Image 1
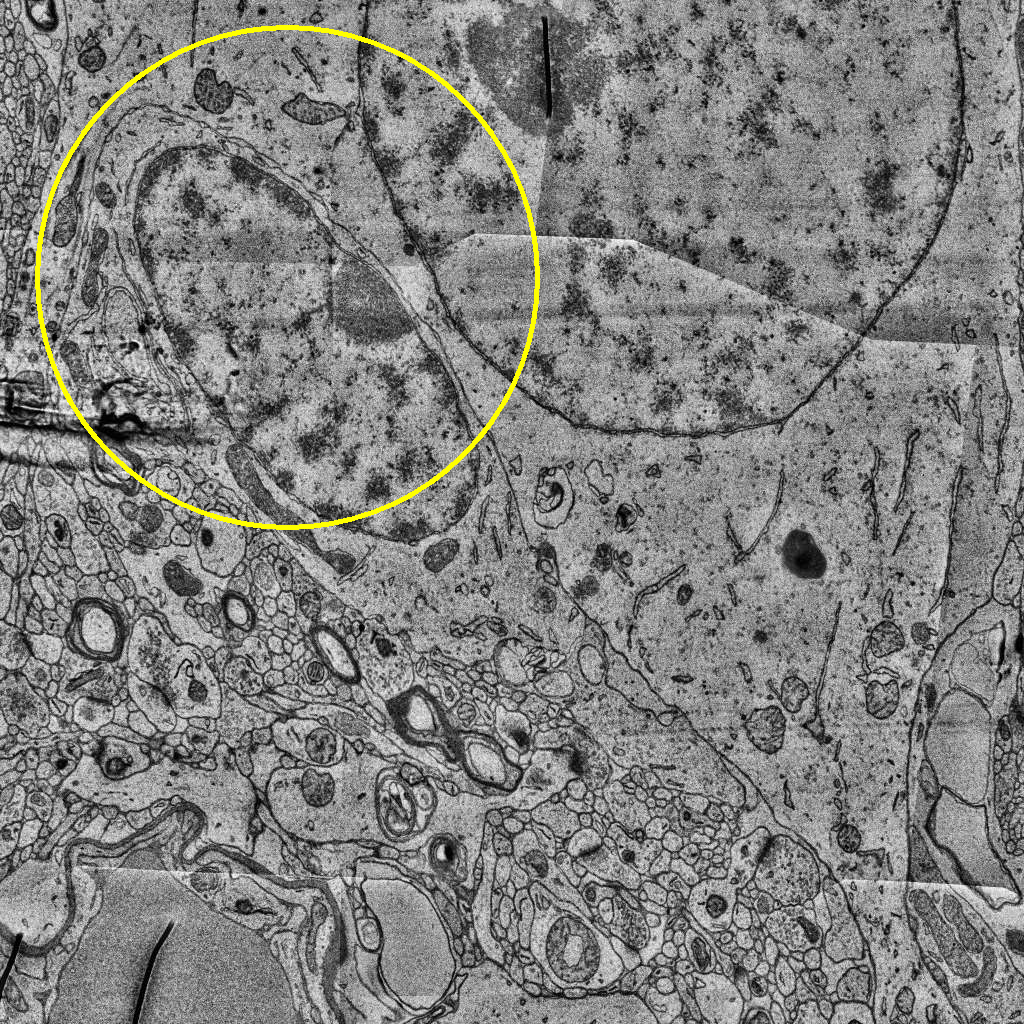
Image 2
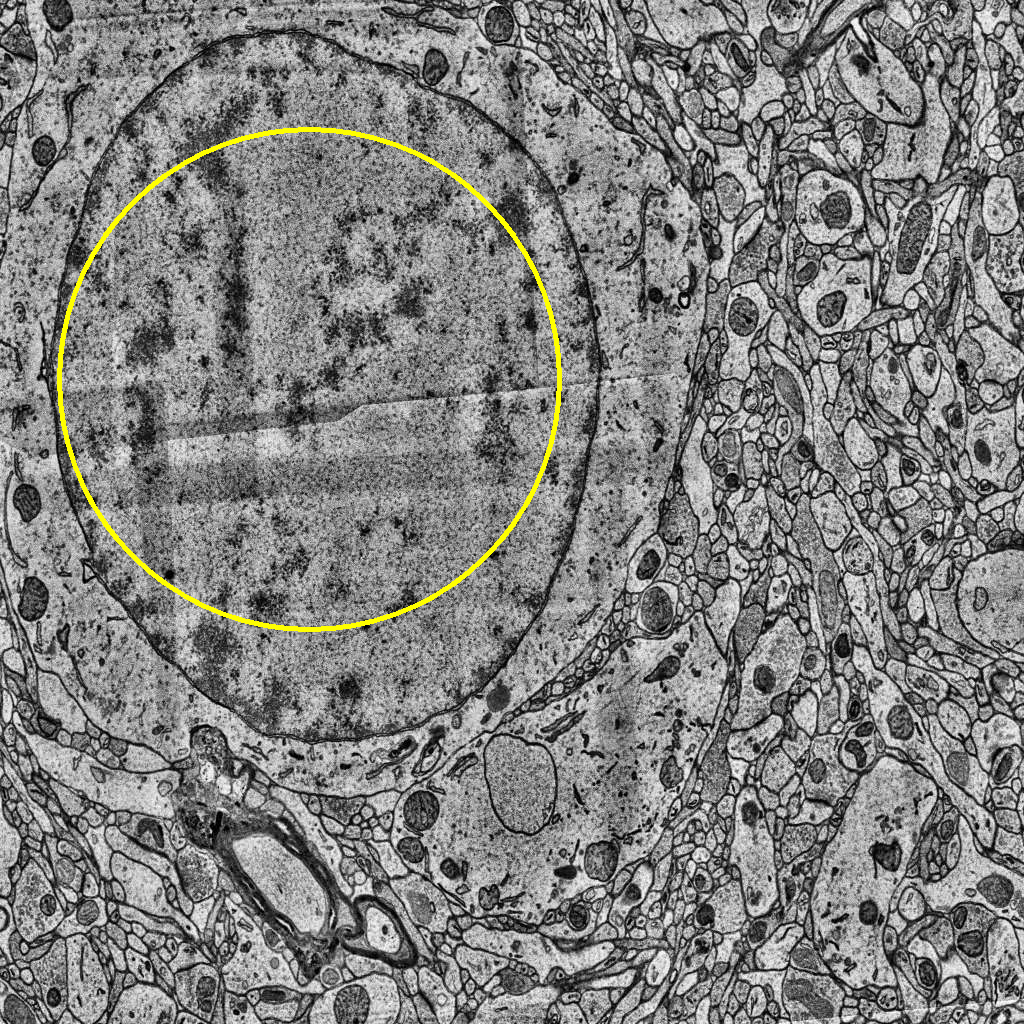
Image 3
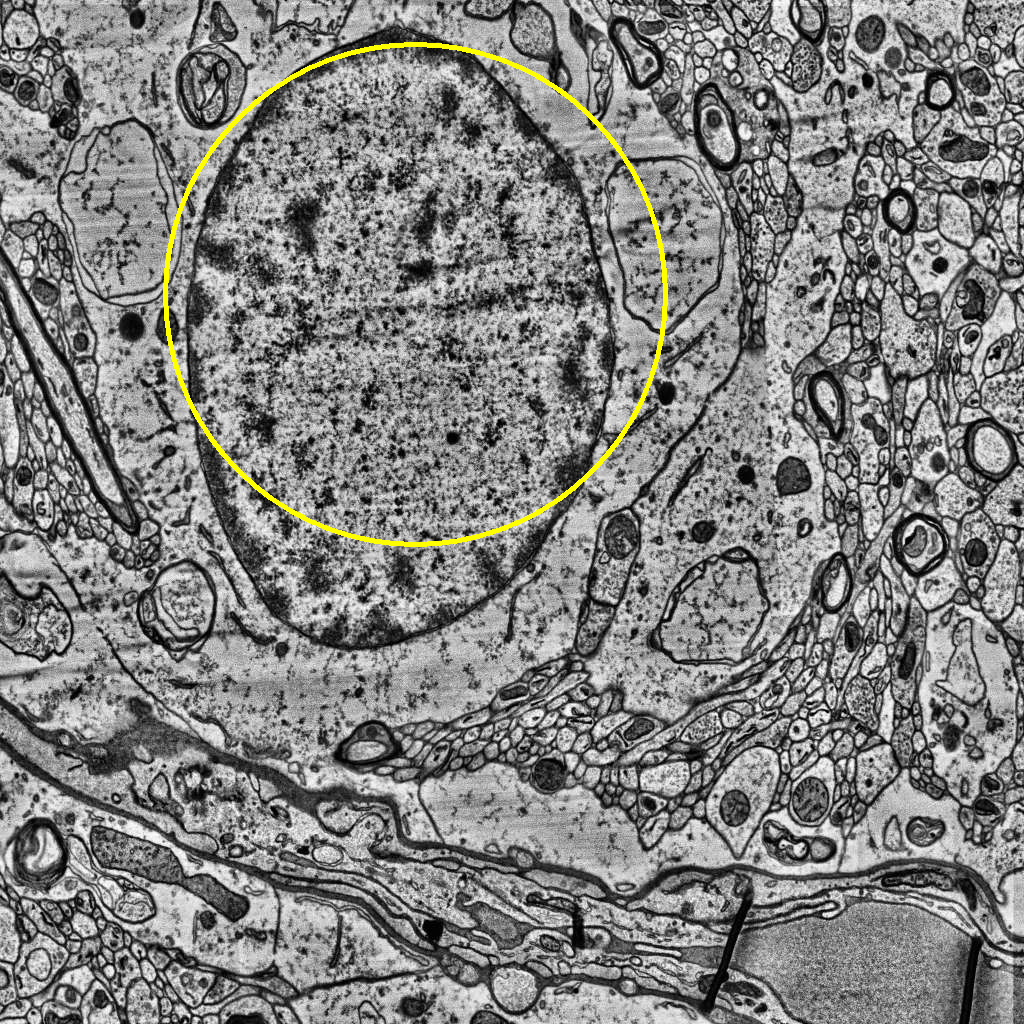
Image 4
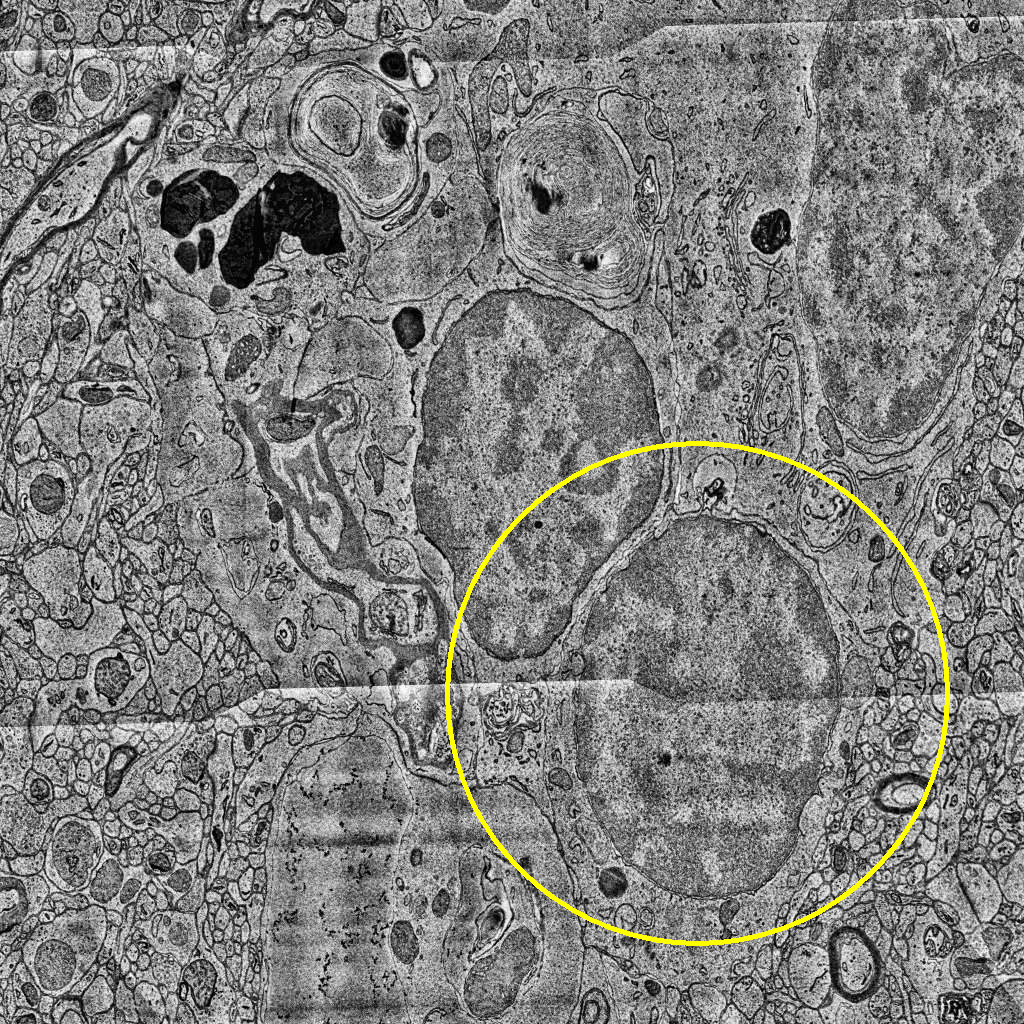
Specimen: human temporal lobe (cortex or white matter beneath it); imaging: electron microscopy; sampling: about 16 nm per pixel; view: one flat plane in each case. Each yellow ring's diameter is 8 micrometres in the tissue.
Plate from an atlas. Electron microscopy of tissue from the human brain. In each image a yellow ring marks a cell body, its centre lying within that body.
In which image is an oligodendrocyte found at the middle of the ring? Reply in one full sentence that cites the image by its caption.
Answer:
The requested cell is the one at the ring's centre in Image 4.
